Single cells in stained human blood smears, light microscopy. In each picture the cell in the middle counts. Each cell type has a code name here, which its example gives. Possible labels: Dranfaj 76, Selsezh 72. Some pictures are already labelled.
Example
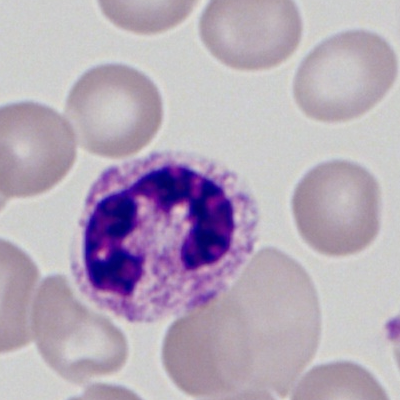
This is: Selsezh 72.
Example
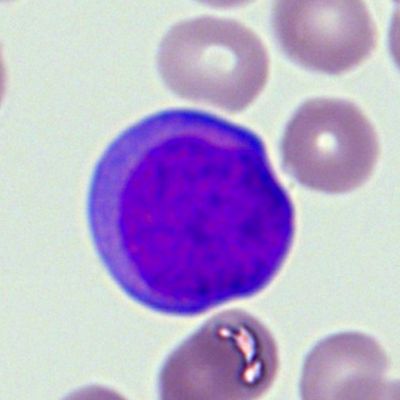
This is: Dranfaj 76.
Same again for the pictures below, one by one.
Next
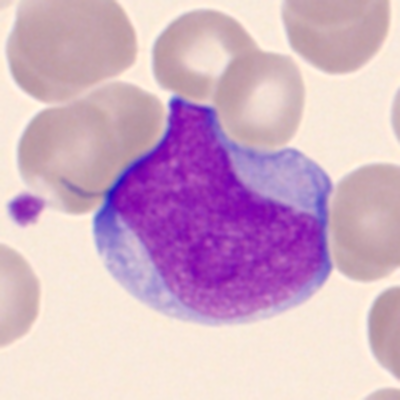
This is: Dranfaj 76.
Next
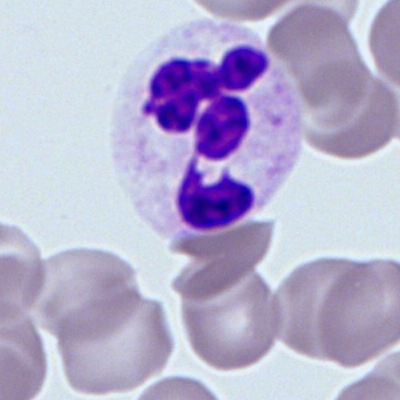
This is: Selsezh 72.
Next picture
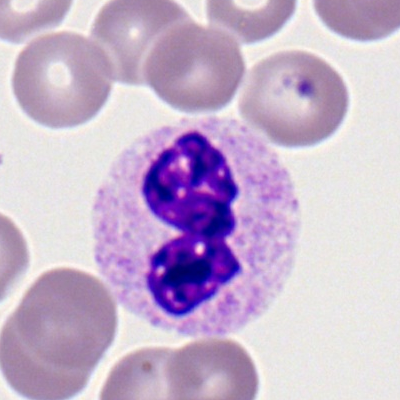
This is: Selsezh 72.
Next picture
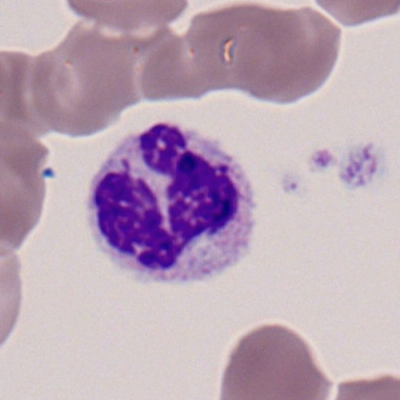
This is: Selsezh 72.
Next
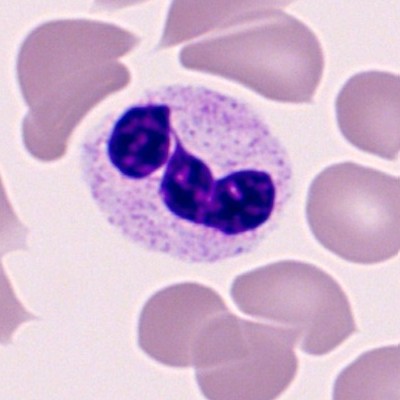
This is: Selsezh 72.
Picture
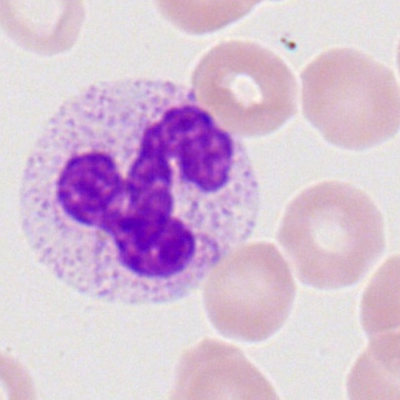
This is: Selsezh 72.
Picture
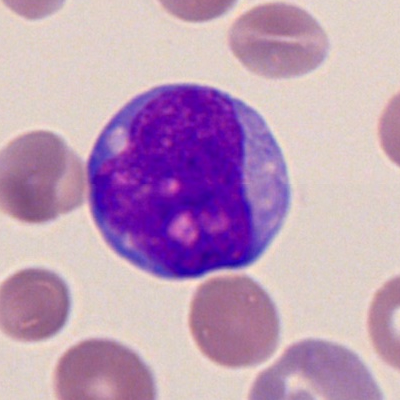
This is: Dranfaj 76.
